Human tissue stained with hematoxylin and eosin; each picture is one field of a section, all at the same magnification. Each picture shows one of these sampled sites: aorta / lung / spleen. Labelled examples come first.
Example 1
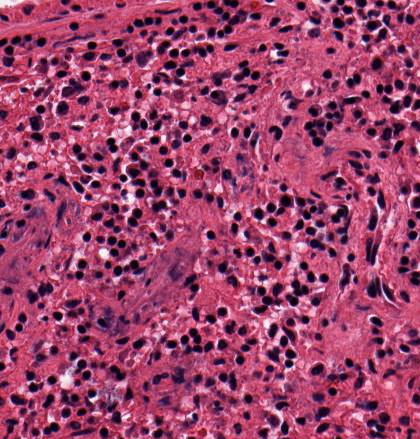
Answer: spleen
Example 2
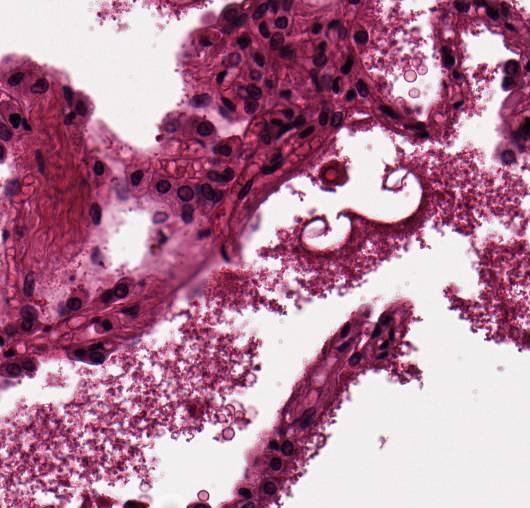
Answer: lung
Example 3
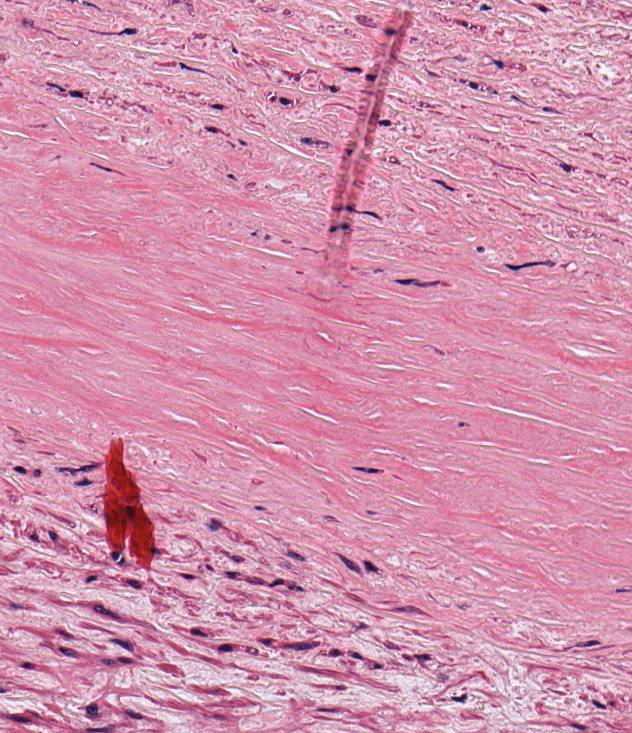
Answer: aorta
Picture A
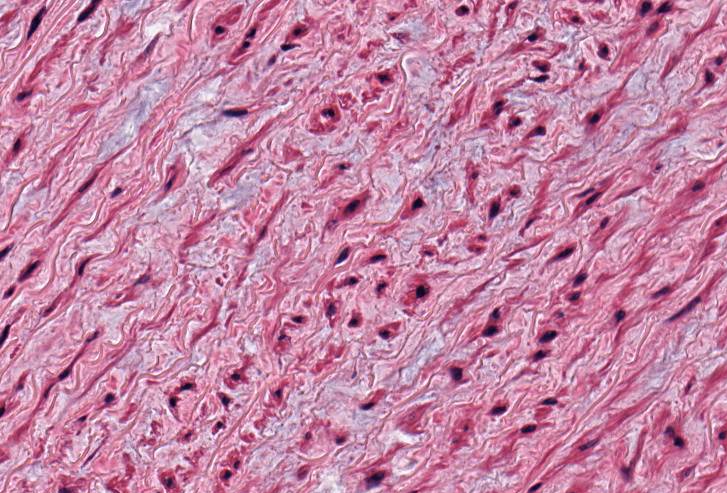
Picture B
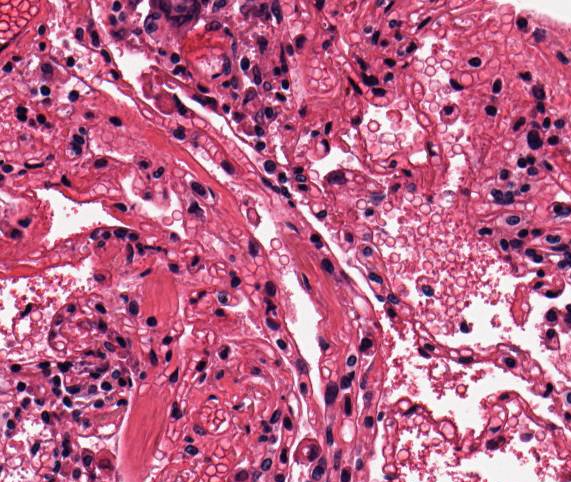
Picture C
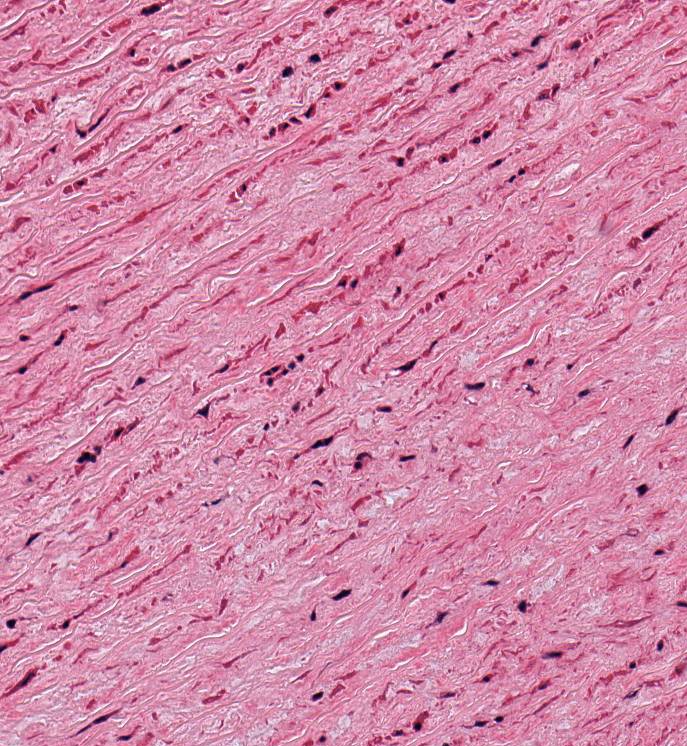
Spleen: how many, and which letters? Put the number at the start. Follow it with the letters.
0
